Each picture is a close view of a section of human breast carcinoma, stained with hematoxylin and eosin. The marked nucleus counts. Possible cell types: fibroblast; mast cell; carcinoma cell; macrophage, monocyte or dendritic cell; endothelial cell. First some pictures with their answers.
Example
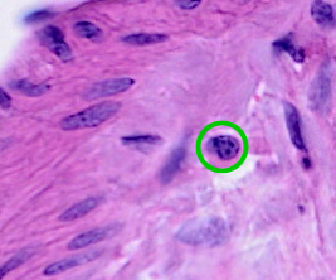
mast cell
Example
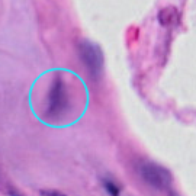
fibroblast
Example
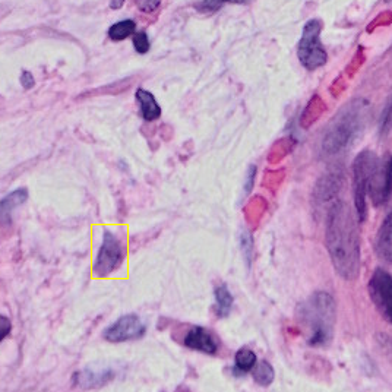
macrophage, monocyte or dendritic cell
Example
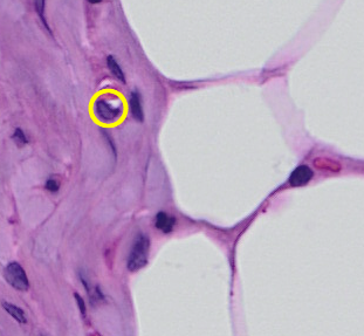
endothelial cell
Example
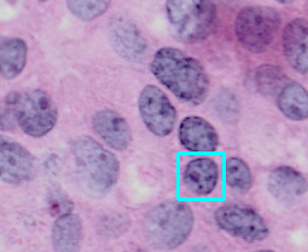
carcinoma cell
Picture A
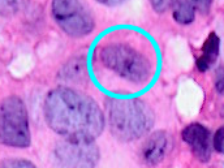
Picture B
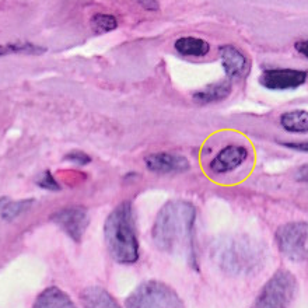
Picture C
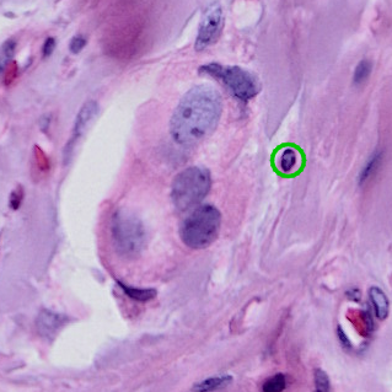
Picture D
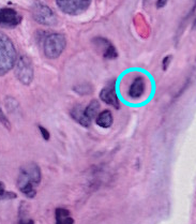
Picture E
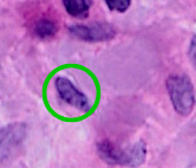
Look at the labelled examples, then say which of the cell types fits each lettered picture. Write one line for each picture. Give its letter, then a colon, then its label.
A: carcinoma cell
B: mast cell
C: mast cell
D: mast cell
E: fibroblast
